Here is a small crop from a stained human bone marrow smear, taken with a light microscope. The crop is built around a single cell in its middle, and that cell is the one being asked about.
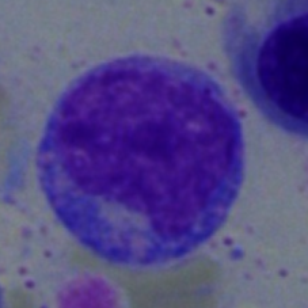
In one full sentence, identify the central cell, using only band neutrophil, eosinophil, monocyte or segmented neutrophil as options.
To answer, the cell in the center of the crop is a monocyte.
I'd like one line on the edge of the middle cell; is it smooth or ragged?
The outline traces a smooth curve with no projections along it.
